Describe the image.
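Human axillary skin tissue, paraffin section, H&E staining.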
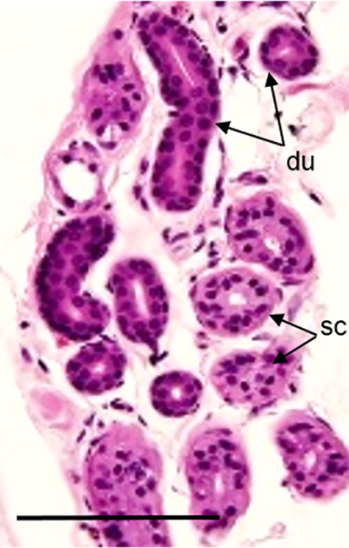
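These are sections through the coiled tubules of eccrine sweat glands, cut across and obliquely and lying in loose connective tissue. Each tubule is an epithelial tube with purple nuclei arranged around a narrow central lumen, some tubules darker with densely packed nuclei, others paler with more loosely spaced nuclei.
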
